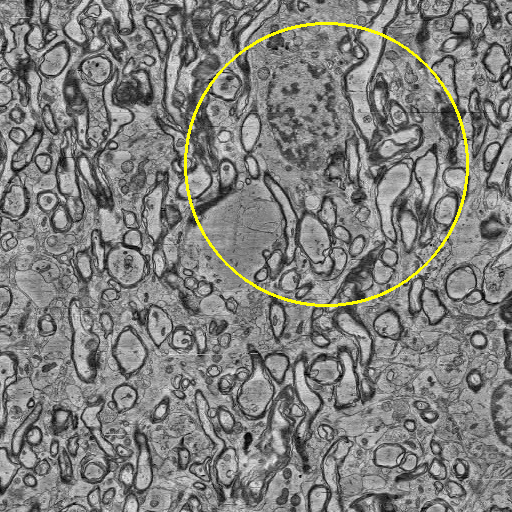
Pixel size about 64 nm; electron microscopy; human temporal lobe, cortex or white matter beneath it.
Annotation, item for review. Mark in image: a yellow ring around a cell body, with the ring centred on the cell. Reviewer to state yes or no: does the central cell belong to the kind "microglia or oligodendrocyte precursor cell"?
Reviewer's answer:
no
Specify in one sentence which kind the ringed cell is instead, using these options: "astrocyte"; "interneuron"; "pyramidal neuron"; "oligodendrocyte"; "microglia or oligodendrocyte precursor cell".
The ring's central cell is an astrocyte instead.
